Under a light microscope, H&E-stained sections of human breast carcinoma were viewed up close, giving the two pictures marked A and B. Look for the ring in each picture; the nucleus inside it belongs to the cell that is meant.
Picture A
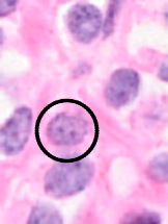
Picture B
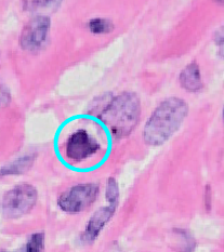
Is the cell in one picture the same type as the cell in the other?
yes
